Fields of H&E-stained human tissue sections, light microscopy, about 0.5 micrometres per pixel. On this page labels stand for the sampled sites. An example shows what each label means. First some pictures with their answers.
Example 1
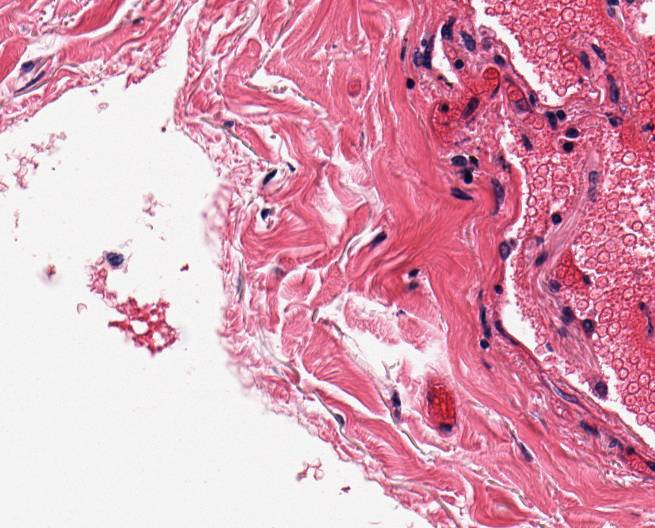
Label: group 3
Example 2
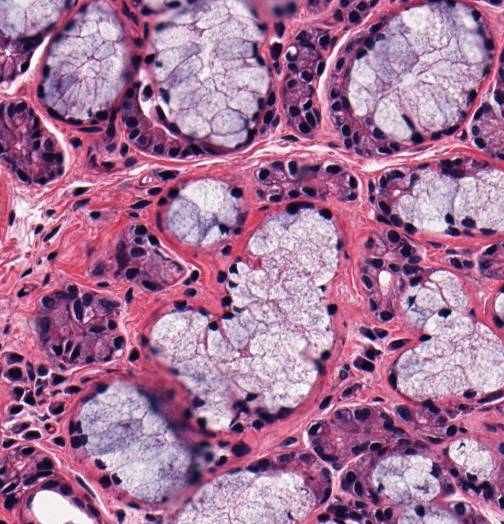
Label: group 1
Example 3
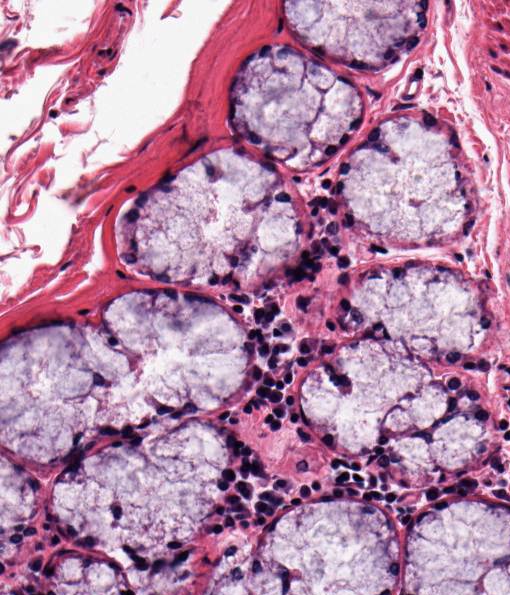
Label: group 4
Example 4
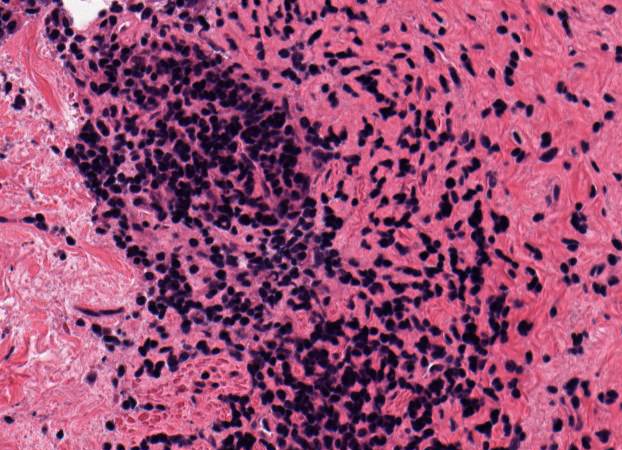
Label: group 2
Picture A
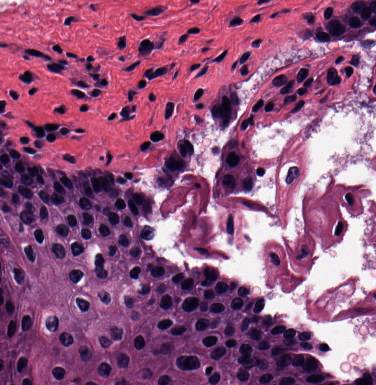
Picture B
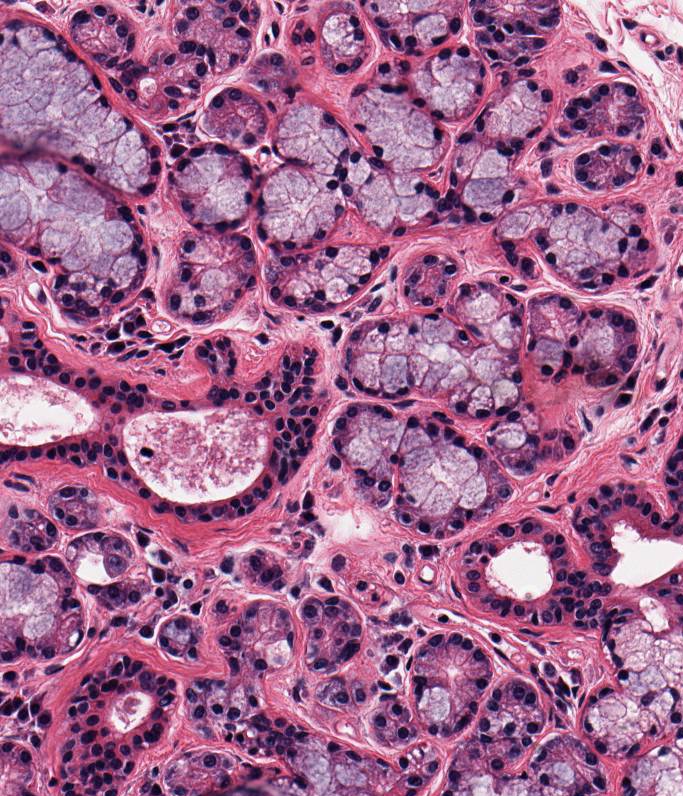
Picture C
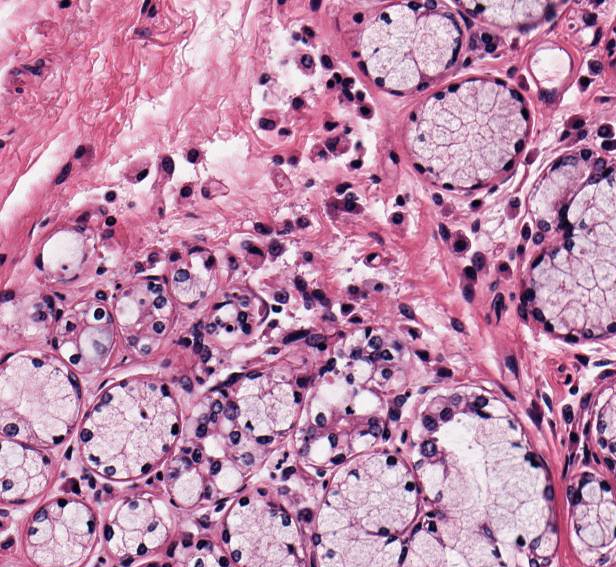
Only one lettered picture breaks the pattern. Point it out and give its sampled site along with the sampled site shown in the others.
Exception: A, showing group 4. Remaining pictures: group 1.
